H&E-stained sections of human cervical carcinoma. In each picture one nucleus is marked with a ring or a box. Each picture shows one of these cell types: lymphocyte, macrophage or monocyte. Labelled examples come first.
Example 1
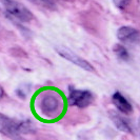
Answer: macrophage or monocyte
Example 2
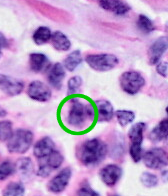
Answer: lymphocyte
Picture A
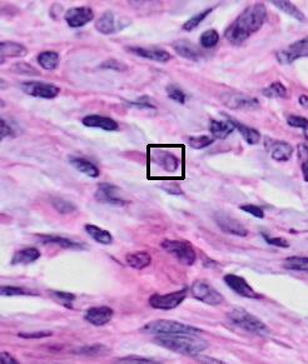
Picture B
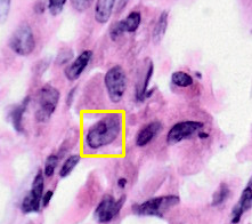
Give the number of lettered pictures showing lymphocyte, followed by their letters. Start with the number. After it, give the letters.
0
